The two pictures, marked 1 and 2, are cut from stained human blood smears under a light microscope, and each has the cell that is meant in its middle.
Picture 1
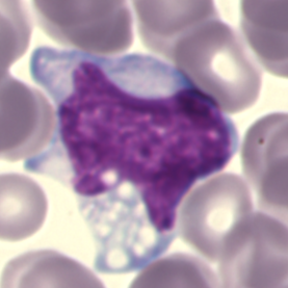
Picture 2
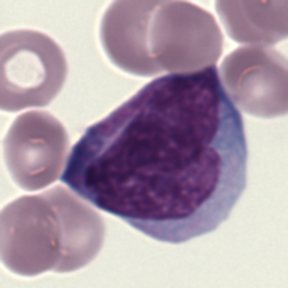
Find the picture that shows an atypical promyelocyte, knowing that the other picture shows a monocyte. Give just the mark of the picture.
2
